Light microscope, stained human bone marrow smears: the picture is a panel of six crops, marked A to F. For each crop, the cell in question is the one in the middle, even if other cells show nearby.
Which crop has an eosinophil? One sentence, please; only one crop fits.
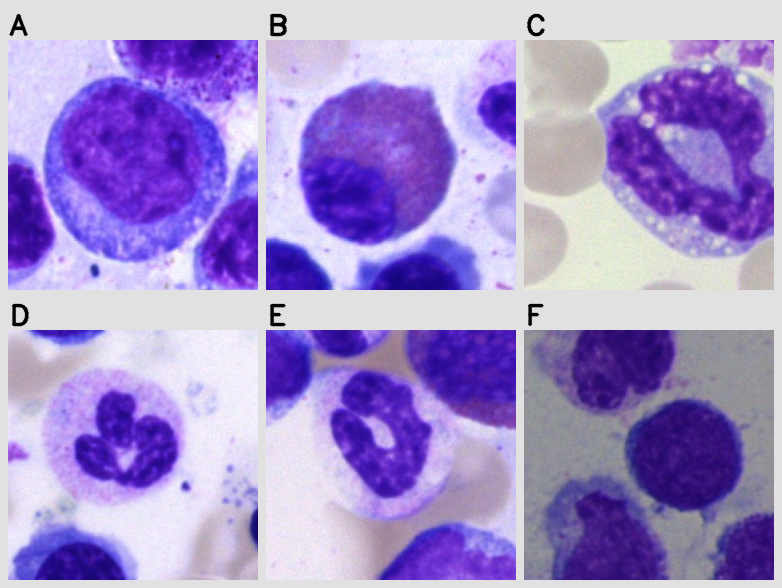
Crop B represents an eosinophil, while the other crops do not.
